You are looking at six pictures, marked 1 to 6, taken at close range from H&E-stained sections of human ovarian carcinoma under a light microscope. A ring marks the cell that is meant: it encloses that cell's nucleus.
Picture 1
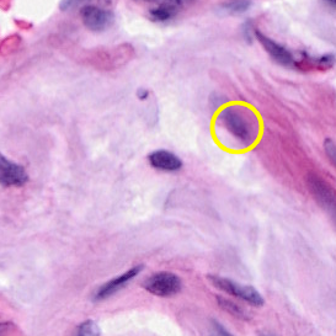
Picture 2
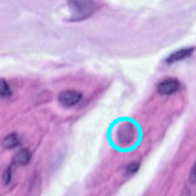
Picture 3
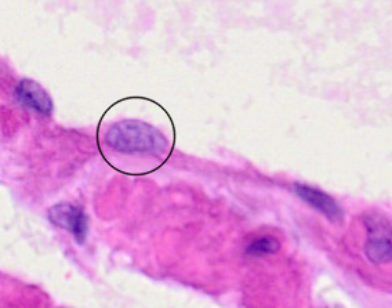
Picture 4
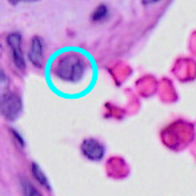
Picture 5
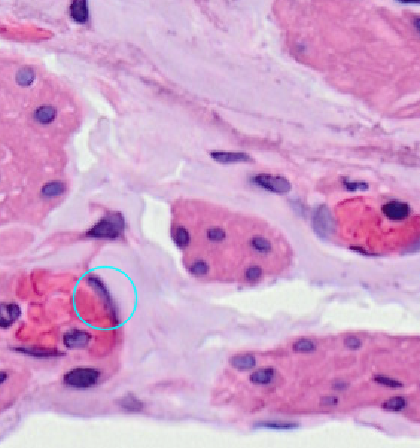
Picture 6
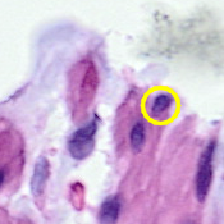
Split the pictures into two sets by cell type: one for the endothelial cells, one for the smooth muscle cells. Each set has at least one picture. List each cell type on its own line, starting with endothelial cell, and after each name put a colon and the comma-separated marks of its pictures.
endothelial cell: 3, 4, 5
smooth muscle cell: 1, 2, 6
